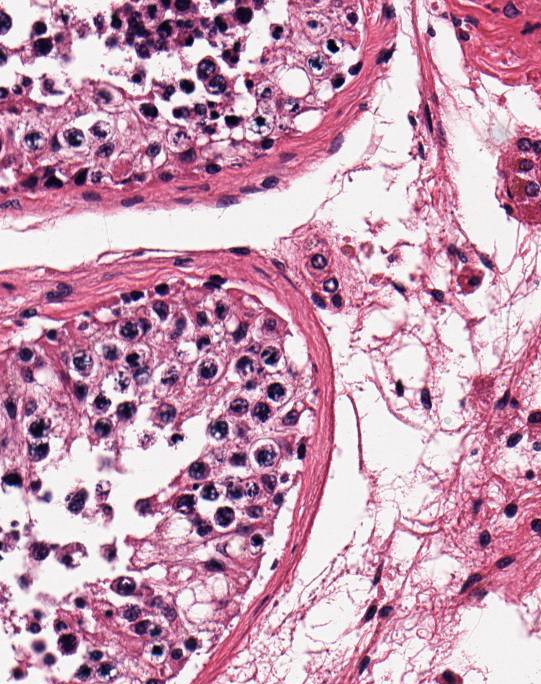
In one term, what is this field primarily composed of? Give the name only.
seminiferous tubule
